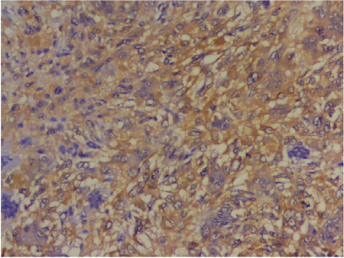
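Densely cellular tumour tissue of crowded, irregular cells with enlarged, variably shaped blue nuclei. Strong brown staining fills the cytoplasm of most cells, with scattered pale clear spaces between them.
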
